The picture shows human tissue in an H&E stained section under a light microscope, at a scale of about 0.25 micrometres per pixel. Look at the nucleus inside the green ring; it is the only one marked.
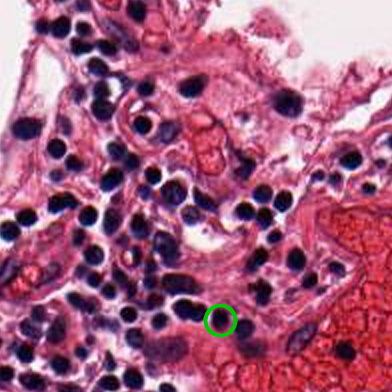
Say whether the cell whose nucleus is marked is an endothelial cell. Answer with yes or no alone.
no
